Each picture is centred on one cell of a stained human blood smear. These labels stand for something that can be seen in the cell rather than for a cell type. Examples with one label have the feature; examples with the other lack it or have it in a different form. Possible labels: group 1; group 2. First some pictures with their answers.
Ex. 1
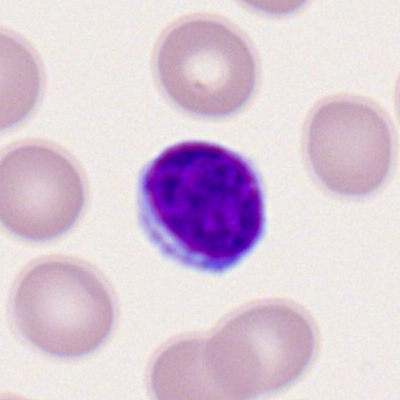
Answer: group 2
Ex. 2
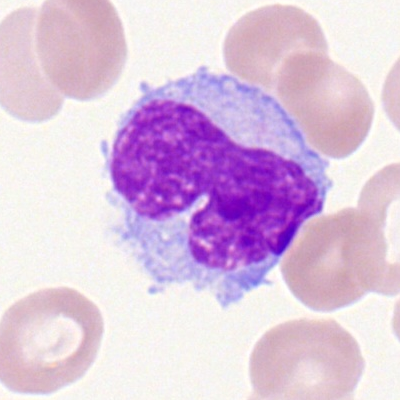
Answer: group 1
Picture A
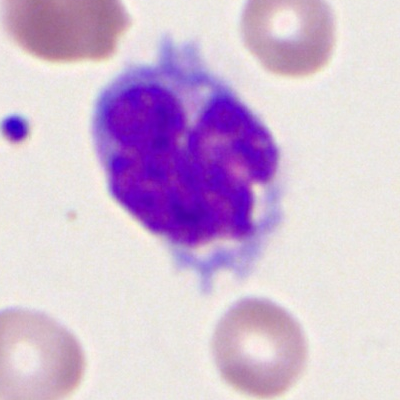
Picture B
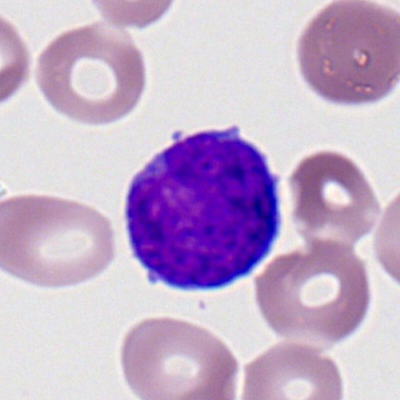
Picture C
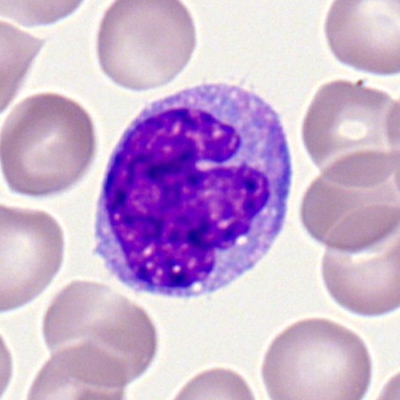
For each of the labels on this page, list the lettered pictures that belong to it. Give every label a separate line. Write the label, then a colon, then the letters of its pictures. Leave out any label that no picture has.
group 1: A, B, C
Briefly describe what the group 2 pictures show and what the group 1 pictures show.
Seen in group 2: smooth outline; seen in group 1: ragged outline or projections.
